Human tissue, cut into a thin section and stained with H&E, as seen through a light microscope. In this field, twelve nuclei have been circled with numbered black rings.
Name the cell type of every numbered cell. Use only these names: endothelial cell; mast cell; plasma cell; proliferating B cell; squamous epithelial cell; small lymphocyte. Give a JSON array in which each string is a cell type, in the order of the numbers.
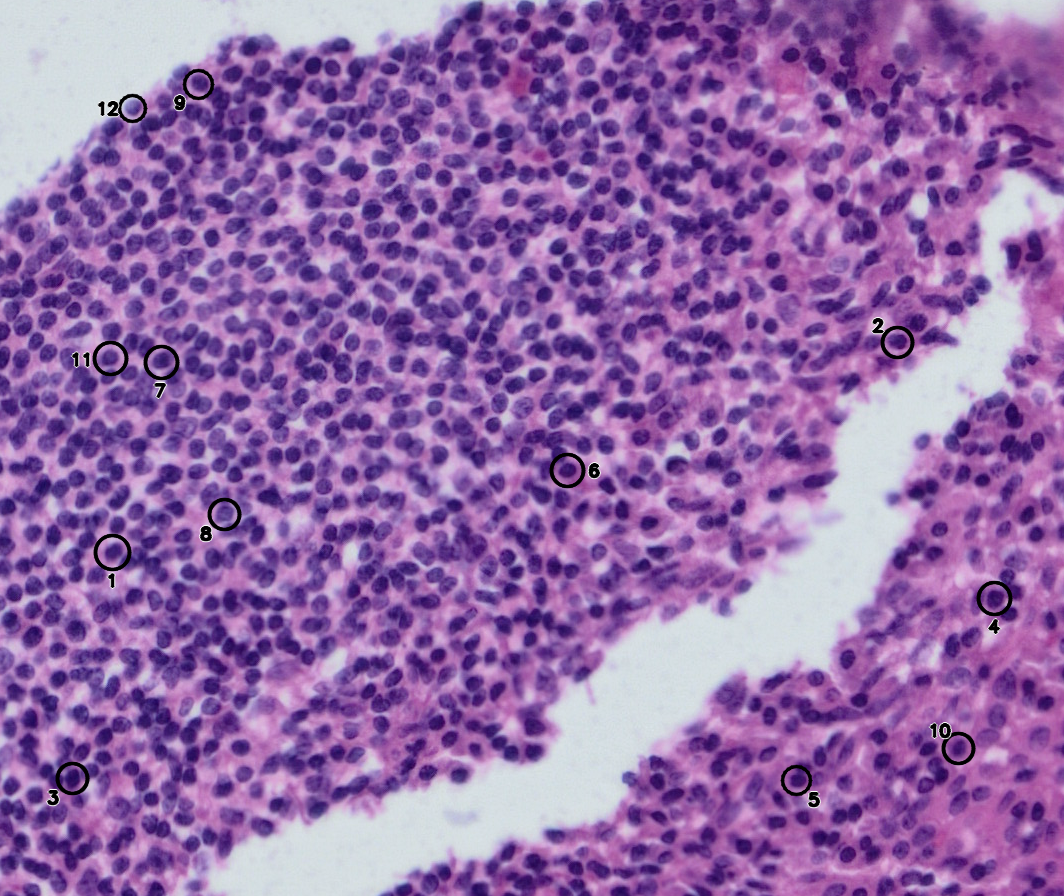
["small lymphocyte", "plasma cell", "small lymphocyte", "plasma cell", "plasma cell", "plasma cell", "small lymphocyte", "small lymphocyte", "small lymphocyte", "plasma cell", "small lymphocyte", "small lymphocyte"]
